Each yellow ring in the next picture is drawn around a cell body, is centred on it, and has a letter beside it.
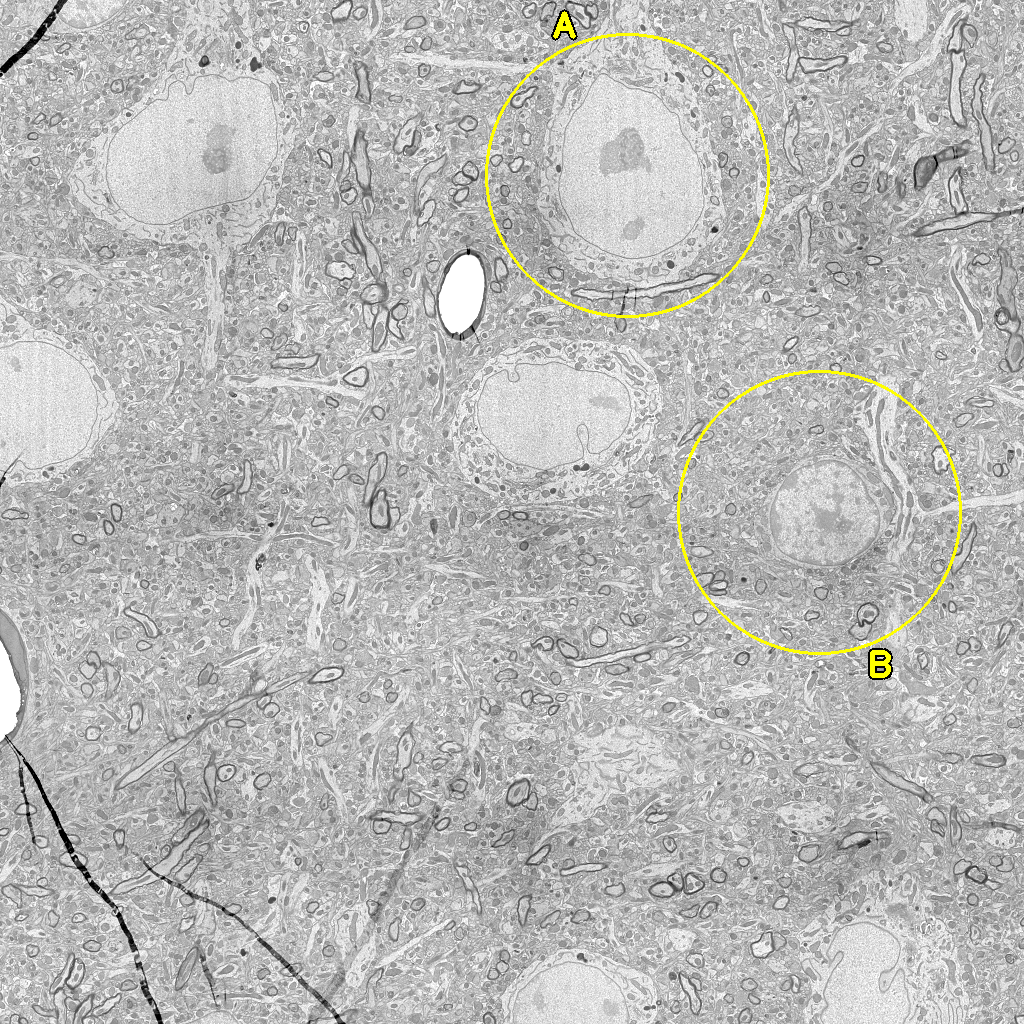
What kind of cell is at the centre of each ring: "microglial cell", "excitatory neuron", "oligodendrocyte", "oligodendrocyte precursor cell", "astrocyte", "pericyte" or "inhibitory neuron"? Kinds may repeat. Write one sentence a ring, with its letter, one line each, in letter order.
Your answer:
The centre of ring A falls on an excitatory neuron.
The centre of ring B falls on an oligodendrocyte.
